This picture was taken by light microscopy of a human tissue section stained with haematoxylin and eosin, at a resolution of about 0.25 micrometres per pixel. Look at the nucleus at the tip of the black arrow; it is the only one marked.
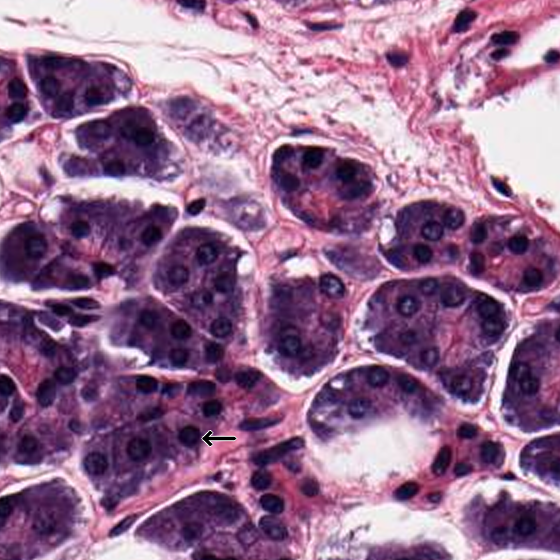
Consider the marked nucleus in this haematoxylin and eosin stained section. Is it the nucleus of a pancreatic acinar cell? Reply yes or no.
yes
